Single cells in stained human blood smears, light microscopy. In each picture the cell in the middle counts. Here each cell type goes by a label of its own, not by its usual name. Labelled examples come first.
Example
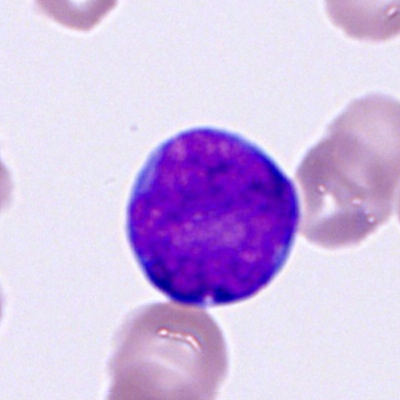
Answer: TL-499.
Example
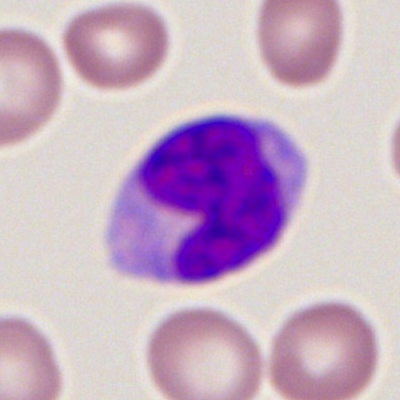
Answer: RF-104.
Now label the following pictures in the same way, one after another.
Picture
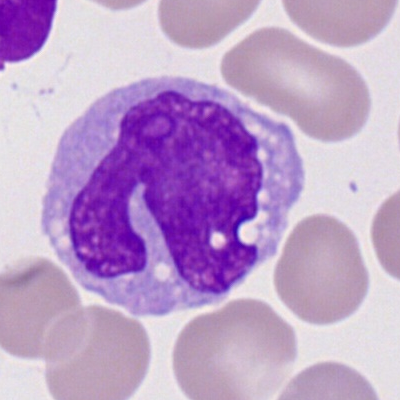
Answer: RF-104.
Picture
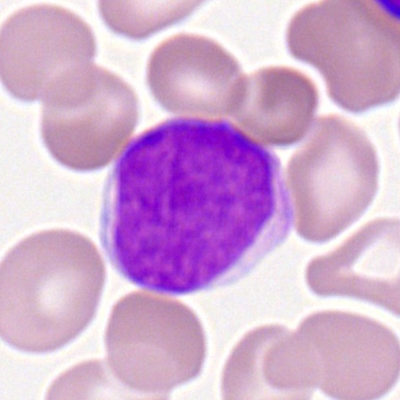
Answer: TL-499.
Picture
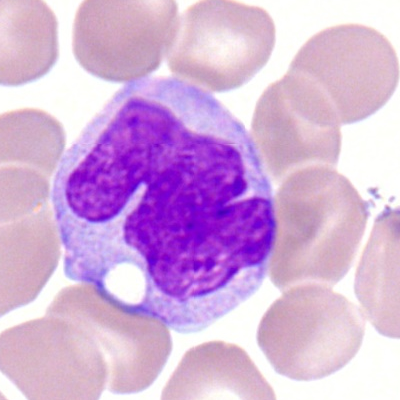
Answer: RF-104.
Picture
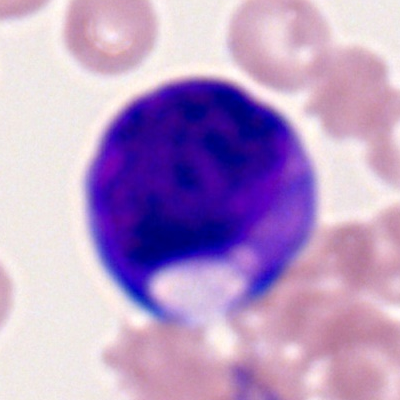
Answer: TL-499.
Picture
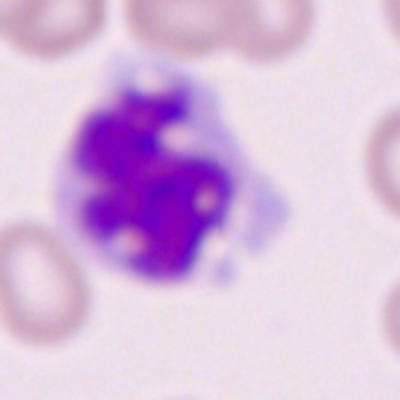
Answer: RF-104.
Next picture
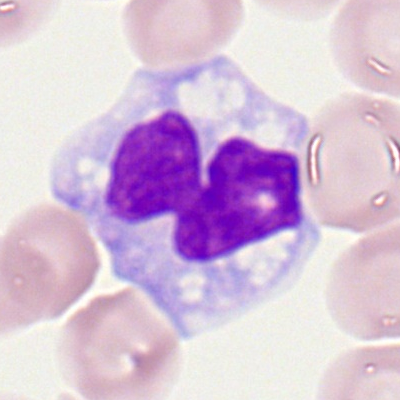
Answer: RF-104.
